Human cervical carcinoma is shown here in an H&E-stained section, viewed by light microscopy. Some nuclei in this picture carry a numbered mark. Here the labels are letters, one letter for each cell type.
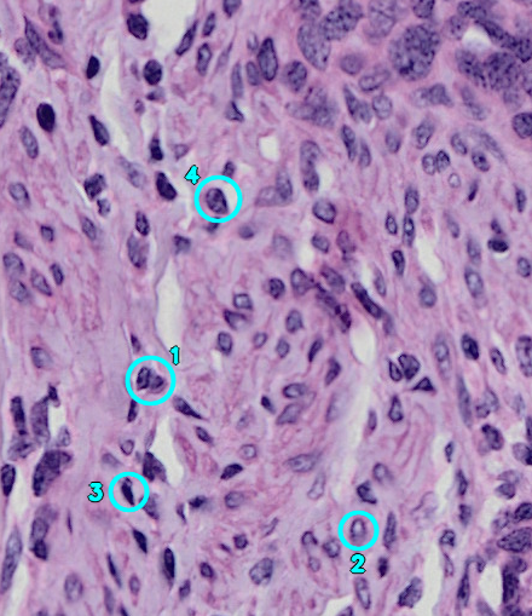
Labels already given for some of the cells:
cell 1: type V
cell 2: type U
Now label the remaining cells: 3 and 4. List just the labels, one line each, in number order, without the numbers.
type V
type V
